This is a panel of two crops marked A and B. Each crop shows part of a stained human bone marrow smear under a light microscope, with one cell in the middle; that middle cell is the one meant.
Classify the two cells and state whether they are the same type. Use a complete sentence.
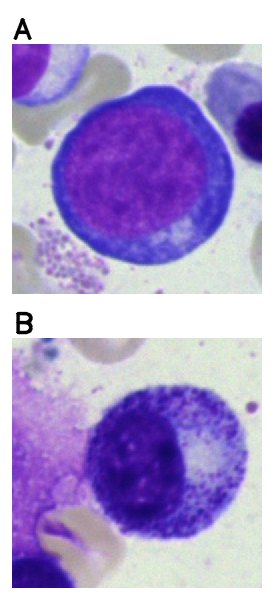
No, a proerythroblast is in crop A, while a promyelocyte is in crop B.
